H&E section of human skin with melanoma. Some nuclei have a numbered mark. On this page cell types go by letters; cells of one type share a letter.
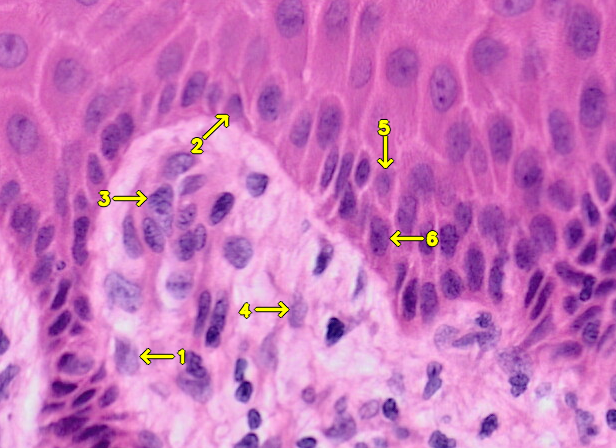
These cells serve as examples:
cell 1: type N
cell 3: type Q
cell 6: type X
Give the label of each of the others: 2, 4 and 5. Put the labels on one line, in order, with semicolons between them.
type X; type N; type X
